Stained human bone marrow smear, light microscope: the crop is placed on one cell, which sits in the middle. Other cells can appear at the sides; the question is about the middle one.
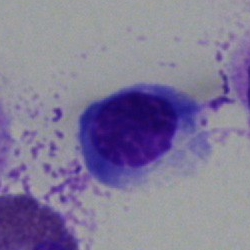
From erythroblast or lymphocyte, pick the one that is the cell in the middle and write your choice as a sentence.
Here the centrally located cell is an erythroblast.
